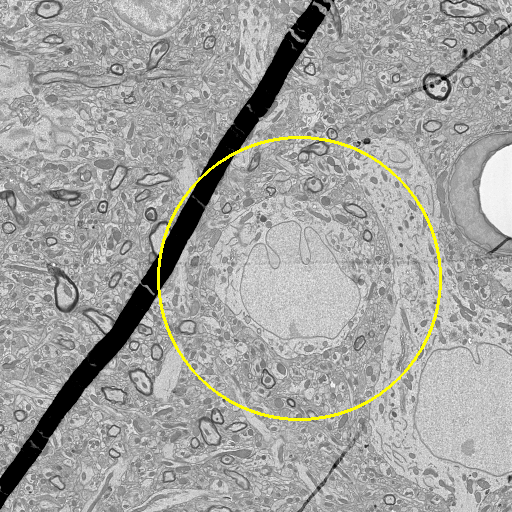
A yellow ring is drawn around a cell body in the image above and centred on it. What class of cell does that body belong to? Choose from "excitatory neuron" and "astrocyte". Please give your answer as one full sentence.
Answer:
The yellow ring above is centred on the cell body of an excitatory neuron.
